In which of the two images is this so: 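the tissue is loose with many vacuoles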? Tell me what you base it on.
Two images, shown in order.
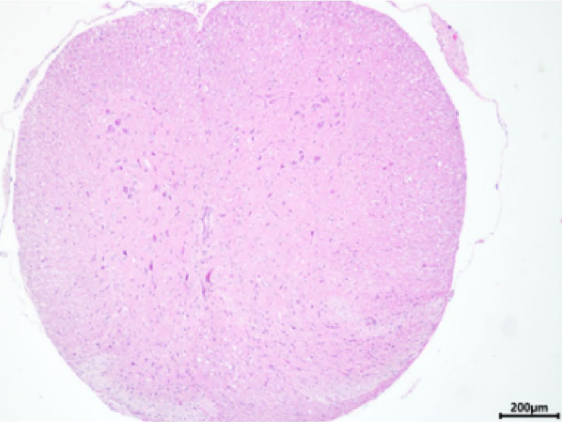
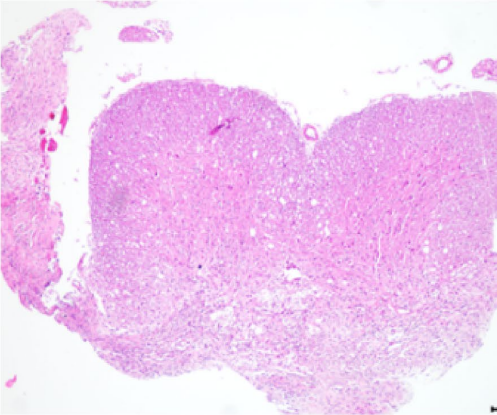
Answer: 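Second image: the tissue holds many small clear holes and its lower part is loose and frayed.
The second image.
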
